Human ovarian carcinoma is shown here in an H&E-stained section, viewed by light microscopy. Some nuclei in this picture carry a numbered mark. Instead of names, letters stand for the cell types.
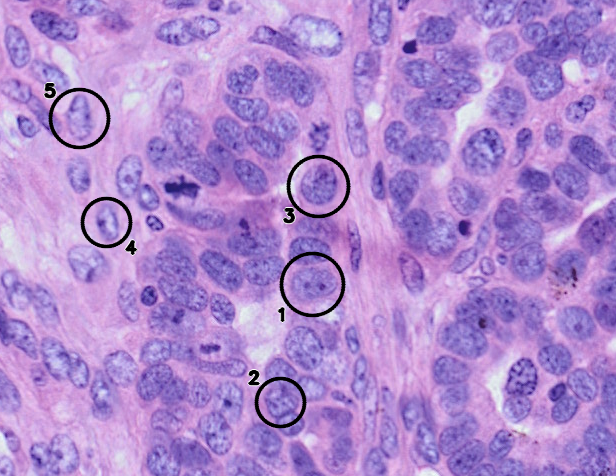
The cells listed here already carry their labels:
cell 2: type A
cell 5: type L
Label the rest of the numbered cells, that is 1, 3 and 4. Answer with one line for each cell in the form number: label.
1: type A
3: type A
4: type L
